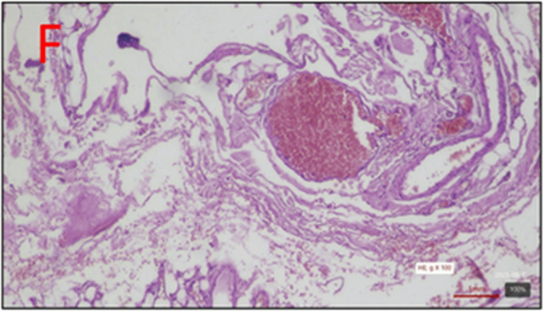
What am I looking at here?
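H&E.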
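This section shows loose pink connective tissue traversed by dilated, thin-walled venous channels. A large rounded vessel in the centre has a thin wall of a few wavy pink layers, with only sparse small nuclei along its lining. Its lumen is largely filled by a compact mass of red blood cells and red-staining material, leaving a small cleft at one edge. Around it, further irregular, open vascular spaces with delicate walls lie within loose, pale fibrous stroma. No dense sheets of cells or crowded, enlarged nuclei are visible; the overall picture is of widened channels rather than cellular growth.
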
